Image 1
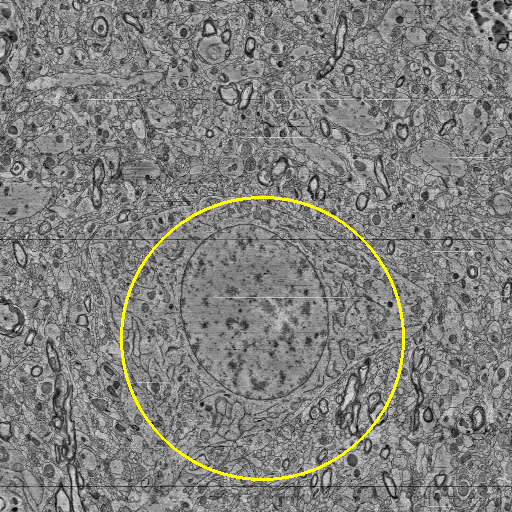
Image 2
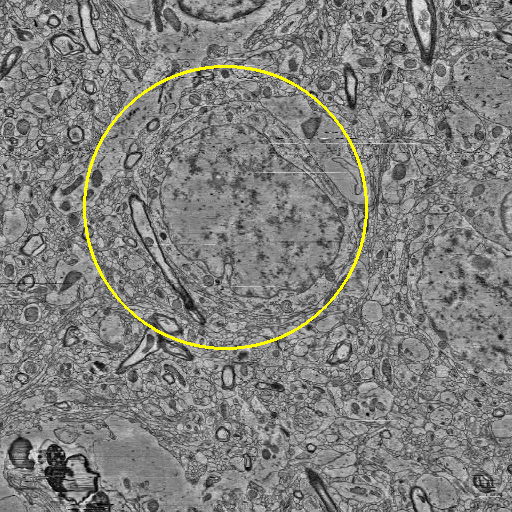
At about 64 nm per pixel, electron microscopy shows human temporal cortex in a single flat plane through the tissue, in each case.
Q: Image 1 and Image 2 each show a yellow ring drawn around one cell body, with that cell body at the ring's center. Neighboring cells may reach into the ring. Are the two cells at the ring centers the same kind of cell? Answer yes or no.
yes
